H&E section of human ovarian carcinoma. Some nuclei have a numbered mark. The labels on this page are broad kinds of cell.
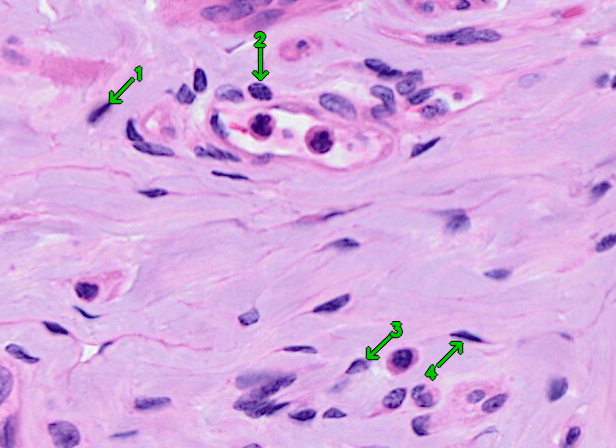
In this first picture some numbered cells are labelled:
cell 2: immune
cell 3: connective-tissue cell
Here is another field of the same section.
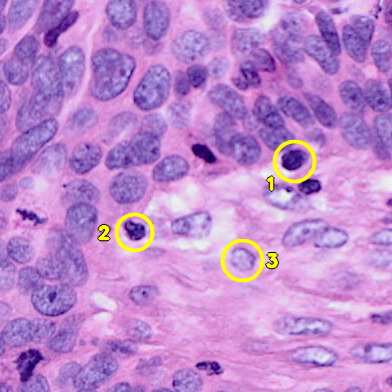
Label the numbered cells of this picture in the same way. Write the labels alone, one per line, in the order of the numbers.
immune
immune
connective-tissue cell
